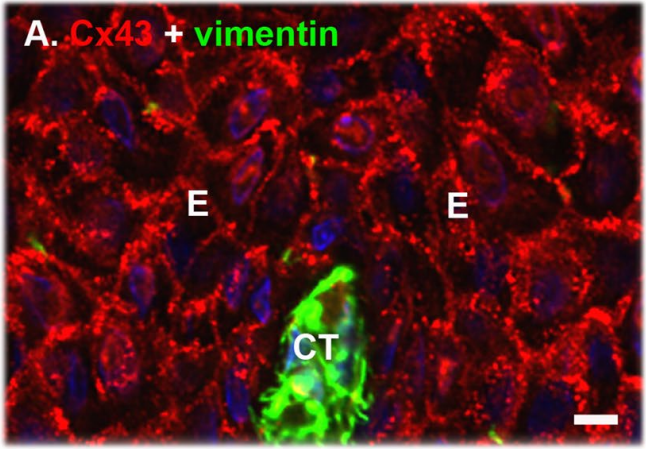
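The epithelial cells are polygonal, each with a single oval blue nucleus, and their borders are traced by coarse red dots and plaques forming a network. Scattered red dots also lie within the cytoplasm. The connective tissue strand is bright green and contains a few elongated nuclei.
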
